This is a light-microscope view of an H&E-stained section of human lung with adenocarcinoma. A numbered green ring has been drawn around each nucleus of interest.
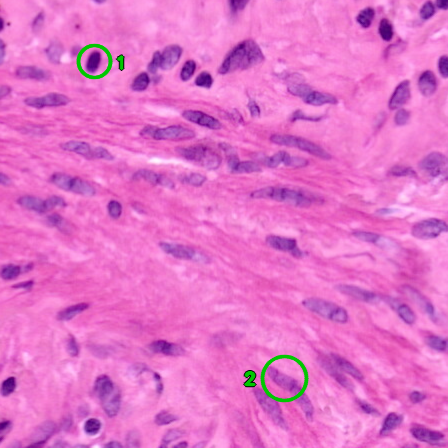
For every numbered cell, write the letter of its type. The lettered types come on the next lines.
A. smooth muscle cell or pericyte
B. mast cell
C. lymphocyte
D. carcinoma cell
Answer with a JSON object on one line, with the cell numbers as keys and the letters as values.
{"1": "C", "2": "A"}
